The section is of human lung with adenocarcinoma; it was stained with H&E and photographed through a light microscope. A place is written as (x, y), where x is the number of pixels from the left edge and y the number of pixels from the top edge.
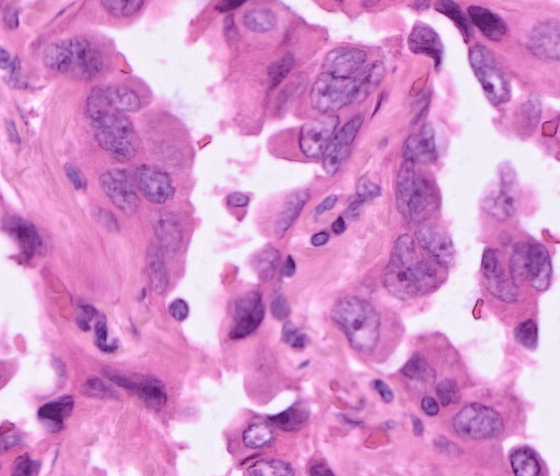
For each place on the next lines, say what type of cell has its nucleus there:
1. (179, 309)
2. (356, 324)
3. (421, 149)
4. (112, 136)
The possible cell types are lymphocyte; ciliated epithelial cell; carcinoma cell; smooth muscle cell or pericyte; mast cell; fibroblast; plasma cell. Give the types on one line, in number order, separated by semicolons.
lymphocyte; carcinoma cell; carcinoma cell; carcinoma cell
